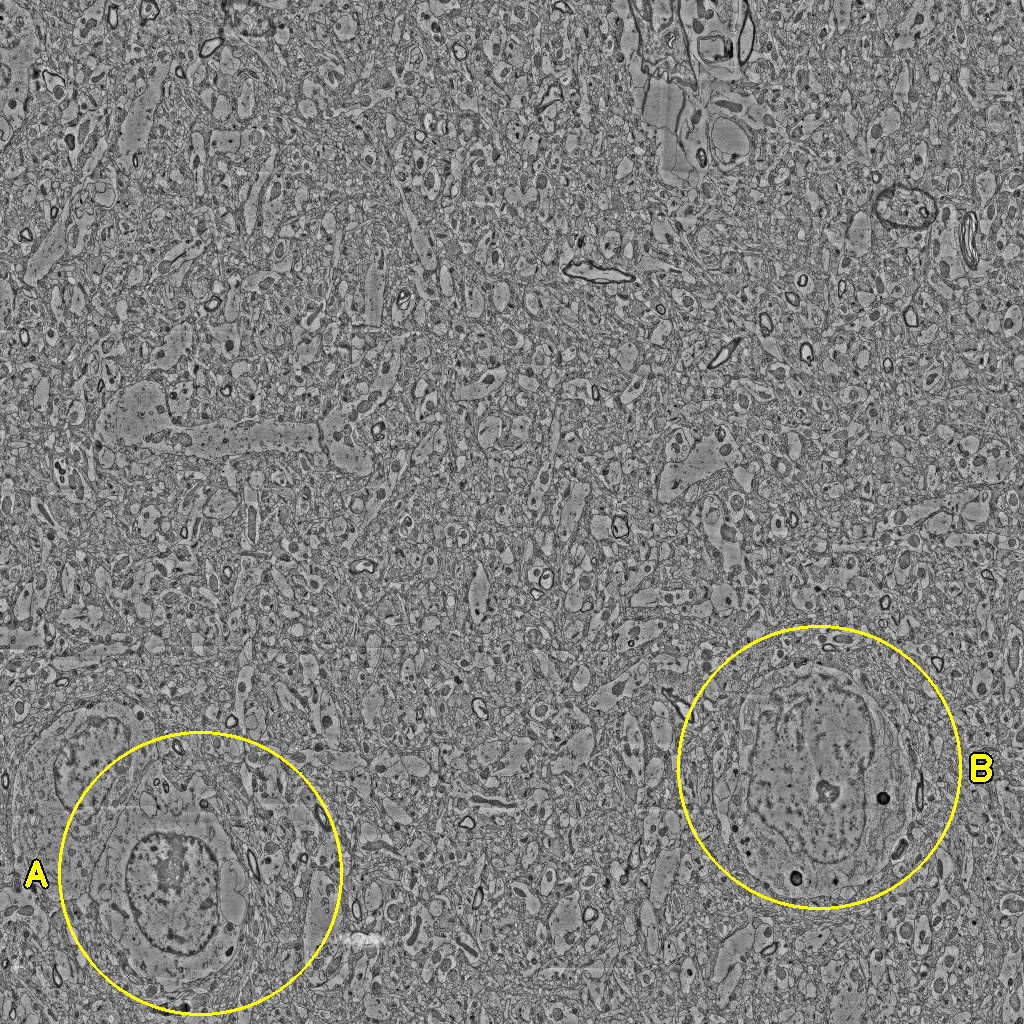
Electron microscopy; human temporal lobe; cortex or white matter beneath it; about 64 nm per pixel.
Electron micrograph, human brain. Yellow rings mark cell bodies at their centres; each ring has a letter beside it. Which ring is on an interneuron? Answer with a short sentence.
Ring B is centred on it.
